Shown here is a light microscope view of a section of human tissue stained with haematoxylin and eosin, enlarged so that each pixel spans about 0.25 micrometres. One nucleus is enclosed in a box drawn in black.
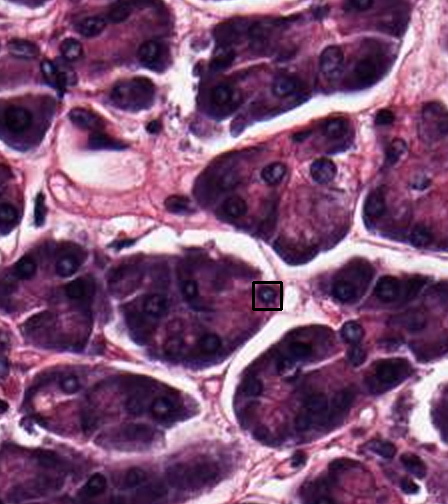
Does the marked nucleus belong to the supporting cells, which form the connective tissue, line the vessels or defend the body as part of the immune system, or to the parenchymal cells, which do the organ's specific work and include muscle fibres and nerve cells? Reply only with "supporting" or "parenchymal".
parenchymal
